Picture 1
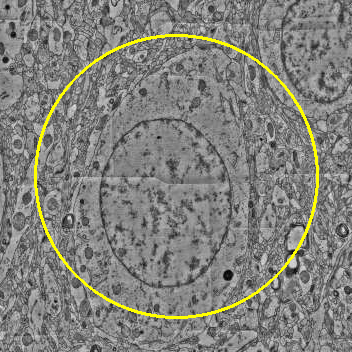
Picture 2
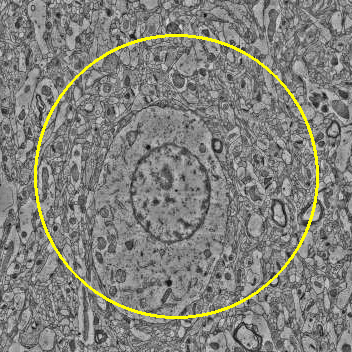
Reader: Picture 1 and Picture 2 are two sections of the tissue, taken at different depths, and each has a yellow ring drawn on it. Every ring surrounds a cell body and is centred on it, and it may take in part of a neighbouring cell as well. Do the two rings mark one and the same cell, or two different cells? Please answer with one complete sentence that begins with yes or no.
Yes, what the two rings mark is one cell.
